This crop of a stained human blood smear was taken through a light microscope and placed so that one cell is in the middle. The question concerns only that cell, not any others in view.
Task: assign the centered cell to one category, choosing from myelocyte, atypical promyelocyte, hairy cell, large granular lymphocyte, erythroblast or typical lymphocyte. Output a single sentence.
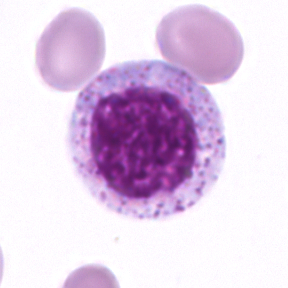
In the middle of this smear crop, the cell is a myelocyte.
